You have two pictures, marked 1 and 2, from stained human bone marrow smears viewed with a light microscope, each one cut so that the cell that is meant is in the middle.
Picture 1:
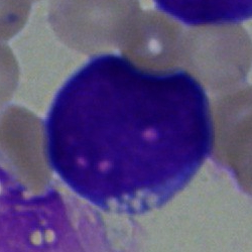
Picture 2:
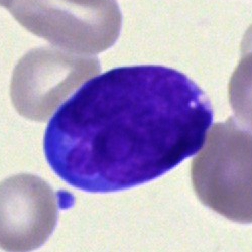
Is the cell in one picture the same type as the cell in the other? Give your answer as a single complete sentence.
Yes, both are blasts.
